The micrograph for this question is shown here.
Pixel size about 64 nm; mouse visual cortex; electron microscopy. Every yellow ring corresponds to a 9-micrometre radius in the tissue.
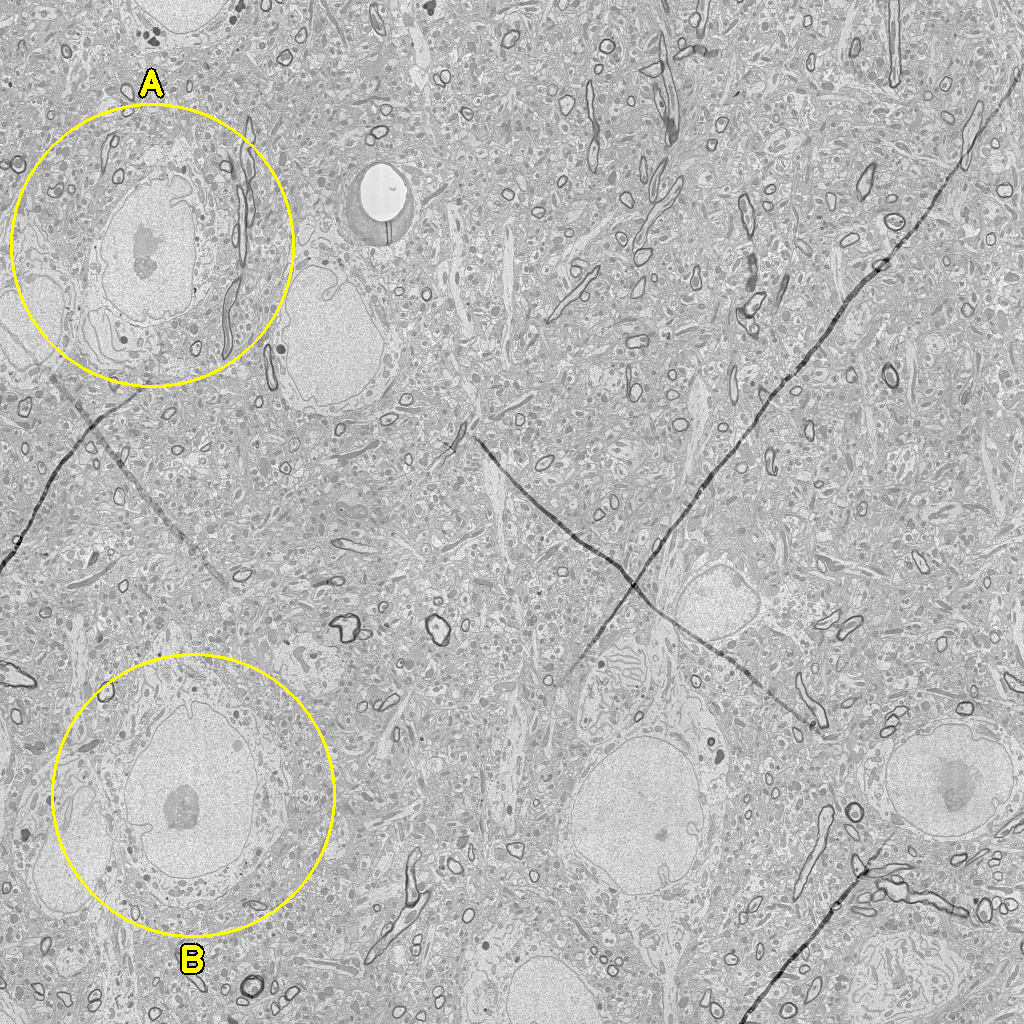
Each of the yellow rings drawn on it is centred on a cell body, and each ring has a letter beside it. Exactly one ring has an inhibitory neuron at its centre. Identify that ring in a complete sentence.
The ring centred on it is ring A.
